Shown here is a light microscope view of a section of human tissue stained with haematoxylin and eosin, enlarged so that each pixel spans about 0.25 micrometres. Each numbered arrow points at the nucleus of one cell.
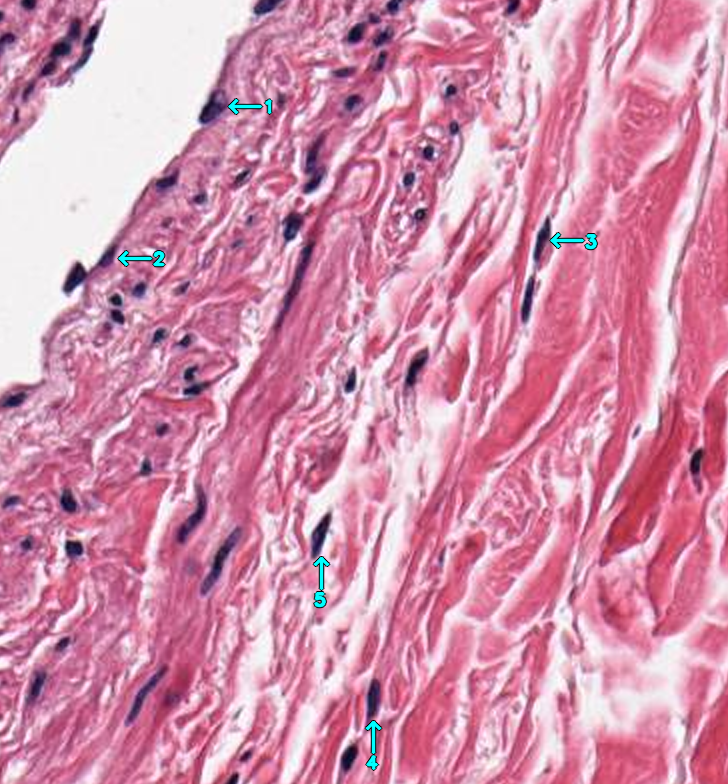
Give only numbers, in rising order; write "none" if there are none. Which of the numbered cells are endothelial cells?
1, 2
